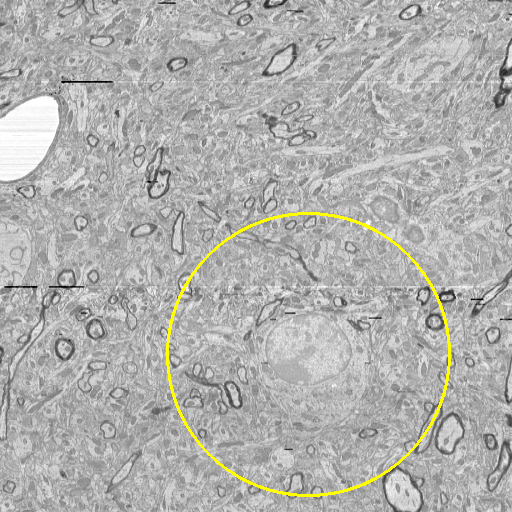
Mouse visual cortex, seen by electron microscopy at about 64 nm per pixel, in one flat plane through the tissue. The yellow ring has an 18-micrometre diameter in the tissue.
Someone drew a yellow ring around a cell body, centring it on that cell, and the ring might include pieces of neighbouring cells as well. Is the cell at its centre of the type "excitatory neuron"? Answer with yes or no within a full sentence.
No, within the picture, the cell the ring is centred on is a different type.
